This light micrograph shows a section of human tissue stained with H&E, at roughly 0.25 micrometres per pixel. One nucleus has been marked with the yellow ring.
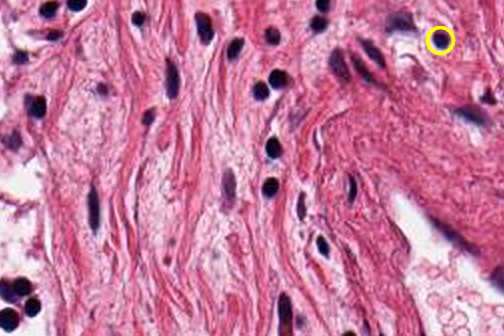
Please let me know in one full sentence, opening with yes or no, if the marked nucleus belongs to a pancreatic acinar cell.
No, it is not a pancreatic acinar cell that owns the marked nucleus but a supporting cell.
